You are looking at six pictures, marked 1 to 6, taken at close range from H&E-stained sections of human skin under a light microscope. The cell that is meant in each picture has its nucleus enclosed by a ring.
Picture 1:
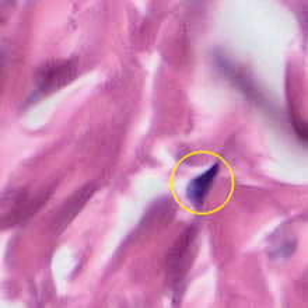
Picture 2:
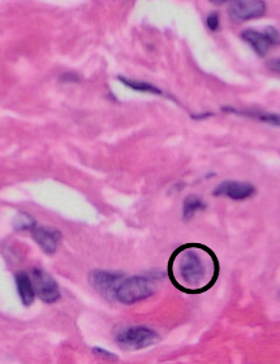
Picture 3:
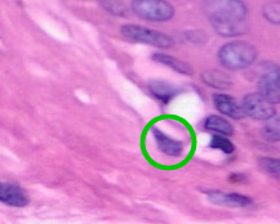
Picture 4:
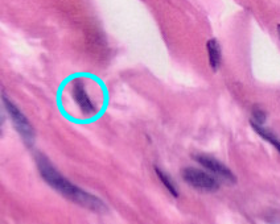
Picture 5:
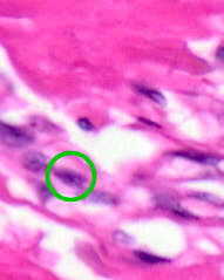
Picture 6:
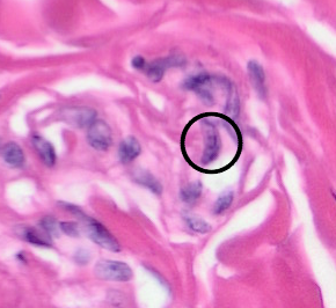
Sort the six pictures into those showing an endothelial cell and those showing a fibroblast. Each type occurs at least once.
1: fibroblast
2: endothelial cell
3: fibroblast
4: fibroblast
5: endothelial cell
6: endothelial cell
